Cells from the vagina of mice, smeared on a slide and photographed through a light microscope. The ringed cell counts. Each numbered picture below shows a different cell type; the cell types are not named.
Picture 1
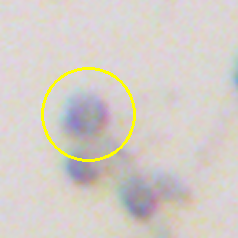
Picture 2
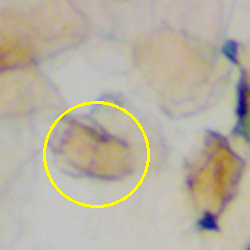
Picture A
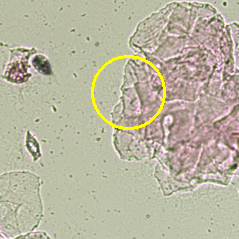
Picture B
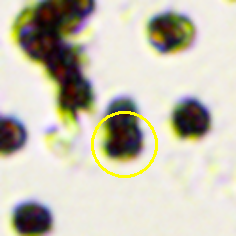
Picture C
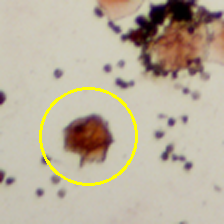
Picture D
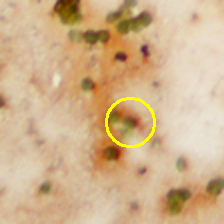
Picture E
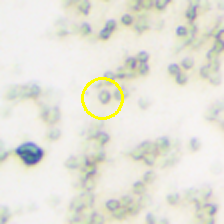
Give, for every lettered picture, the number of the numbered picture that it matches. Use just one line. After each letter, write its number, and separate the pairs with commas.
A 2, B 1, C 2, D 1, E 1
